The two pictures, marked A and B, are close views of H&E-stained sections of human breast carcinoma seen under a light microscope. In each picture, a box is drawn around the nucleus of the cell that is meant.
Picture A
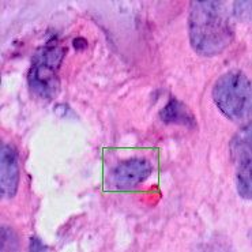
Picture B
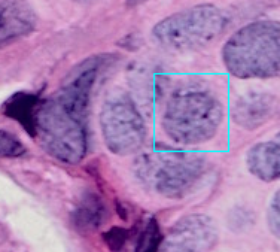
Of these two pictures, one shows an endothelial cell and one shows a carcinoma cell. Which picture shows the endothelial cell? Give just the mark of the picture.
A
